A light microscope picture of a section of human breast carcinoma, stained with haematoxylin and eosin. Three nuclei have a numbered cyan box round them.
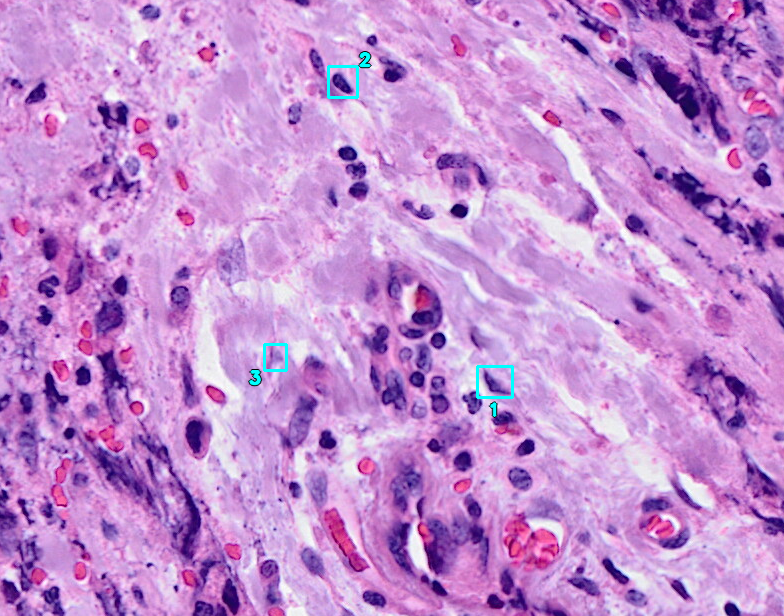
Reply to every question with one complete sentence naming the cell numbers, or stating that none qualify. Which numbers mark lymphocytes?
Only the cell carrying number 2 is a lymphocyte.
